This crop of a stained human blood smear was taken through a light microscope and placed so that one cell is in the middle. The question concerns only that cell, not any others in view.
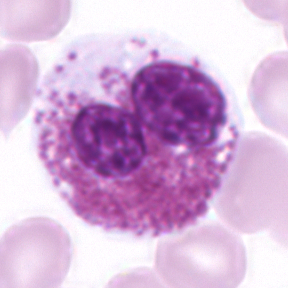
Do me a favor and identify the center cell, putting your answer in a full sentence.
Centrally within this crop lies an eosinophil.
